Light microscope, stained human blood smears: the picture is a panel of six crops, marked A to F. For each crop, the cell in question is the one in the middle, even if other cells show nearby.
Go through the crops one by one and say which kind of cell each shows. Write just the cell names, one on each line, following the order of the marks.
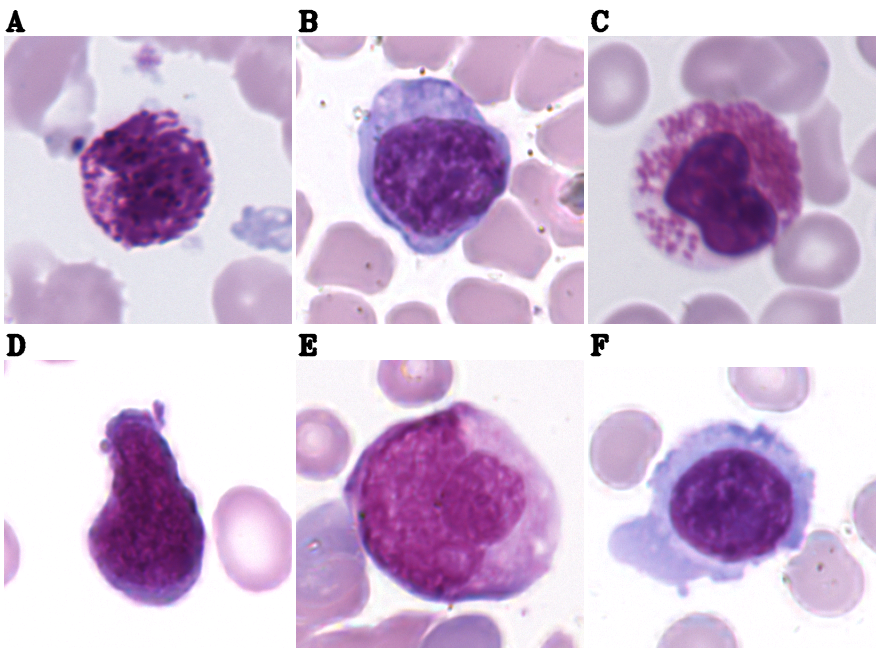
basophil
plasma cell
eosinophil
atypical promyelocyte
atypical promyelocyte
plasma cell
